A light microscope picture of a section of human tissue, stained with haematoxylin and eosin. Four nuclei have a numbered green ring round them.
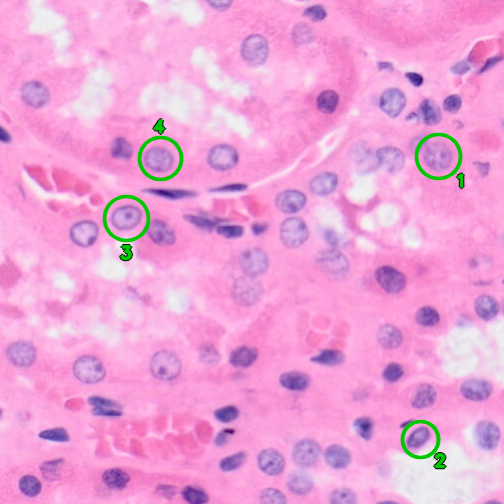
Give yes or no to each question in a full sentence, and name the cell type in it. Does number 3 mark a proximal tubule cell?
Yes, the numbered cell 3 is identified as a proximal tubule cell.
